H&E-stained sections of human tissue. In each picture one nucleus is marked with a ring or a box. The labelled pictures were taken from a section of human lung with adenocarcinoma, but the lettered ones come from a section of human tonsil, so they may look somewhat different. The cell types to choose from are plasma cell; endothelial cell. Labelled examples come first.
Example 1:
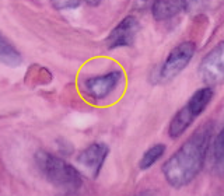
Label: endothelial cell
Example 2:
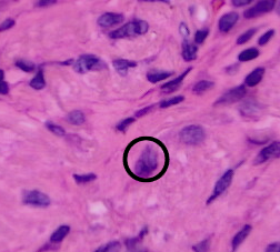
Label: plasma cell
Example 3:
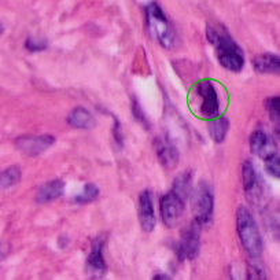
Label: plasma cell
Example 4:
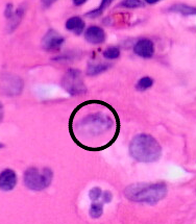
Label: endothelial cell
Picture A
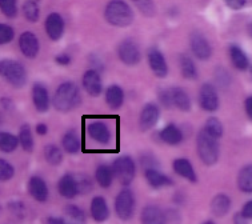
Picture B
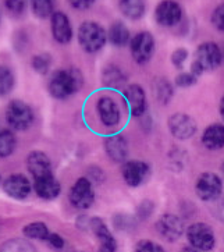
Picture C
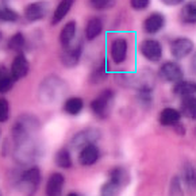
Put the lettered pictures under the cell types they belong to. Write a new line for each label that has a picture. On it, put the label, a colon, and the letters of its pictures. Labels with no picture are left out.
plasma cell: A, B
endothelial cell: C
